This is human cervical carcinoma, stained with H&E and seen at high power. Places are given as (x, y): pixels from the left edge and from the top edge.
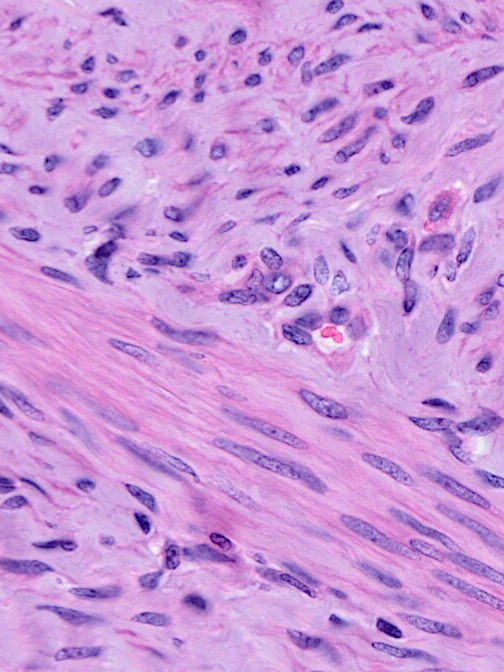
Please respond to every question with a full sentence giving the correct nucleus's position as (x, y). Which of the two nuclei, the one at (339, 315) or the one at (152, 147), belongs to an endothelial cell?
The nucleus at (339, 315) is the one of the two that belongs to an endothelial cell.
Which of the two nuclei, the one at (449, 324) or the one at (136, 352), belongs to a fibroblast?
The nucleus found at (449, 324) belongs to a fibroblast.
